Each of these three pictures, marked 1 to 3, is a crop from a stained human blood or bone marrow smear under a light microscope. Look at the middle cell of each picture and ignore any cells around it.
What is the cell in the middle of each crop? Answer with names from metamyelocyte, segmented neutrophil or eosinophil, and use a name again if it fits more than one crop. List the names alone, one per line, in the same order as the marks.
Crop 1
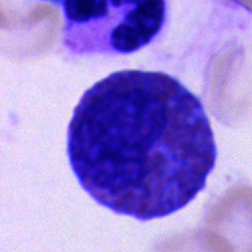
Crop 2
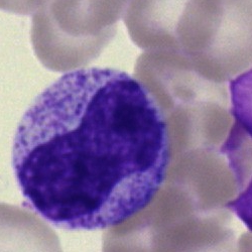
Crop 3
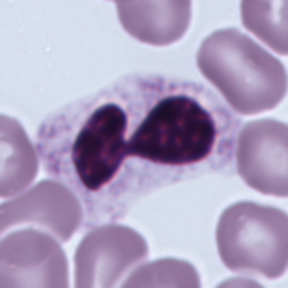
eosinophil
metamyelocyte
segmented neutrophil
